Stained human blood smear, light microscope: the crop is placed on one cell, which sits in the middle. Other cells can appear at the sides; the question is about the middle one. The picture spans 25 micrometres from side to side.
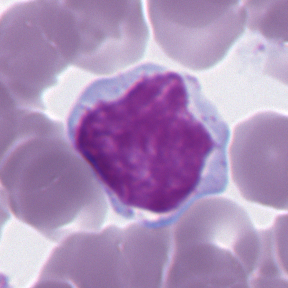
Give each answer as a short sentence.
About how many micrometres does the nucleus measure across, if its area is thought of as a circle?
About 11 micrometres: that is the diameter of the nucleus.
